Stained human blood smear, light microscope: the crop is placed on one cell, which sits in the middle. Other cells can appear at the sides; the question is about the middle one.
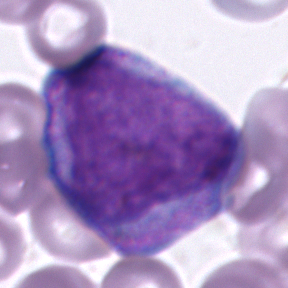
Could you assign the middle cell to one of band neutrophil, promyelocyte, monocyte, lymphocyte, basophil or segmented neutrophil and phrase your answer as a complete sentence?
The cell marked by its central position in the crop is a promyelocyte.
